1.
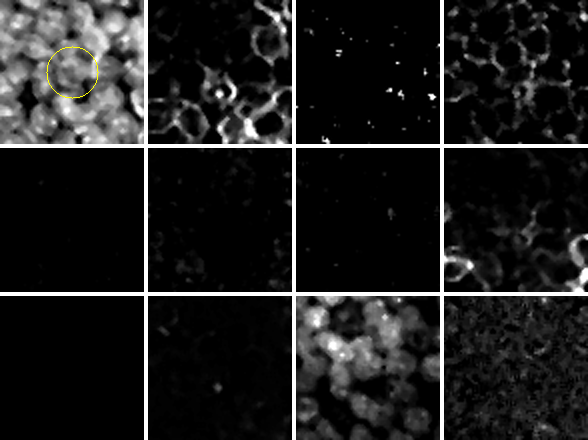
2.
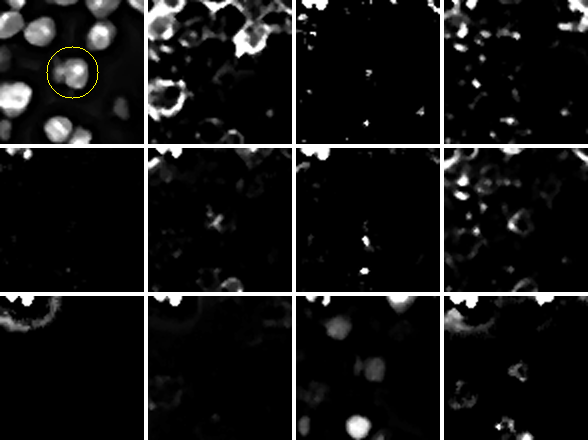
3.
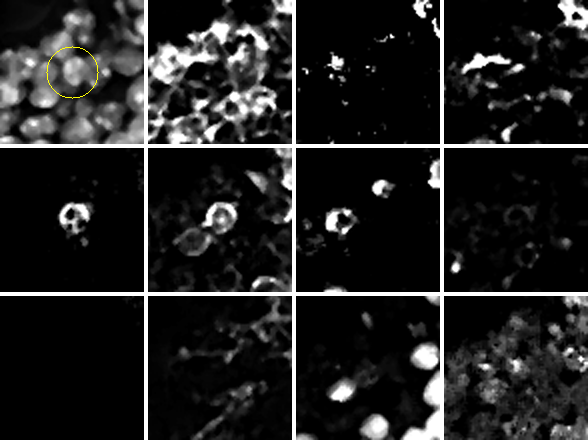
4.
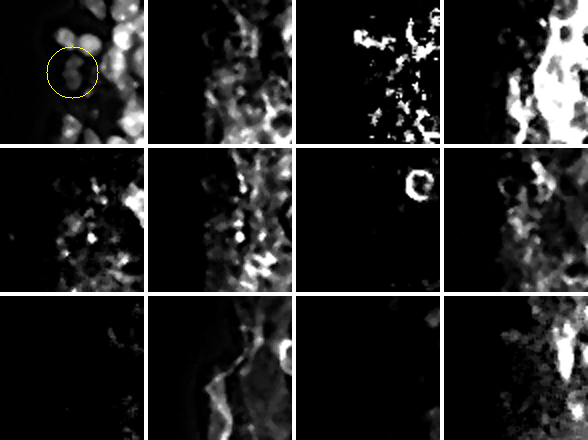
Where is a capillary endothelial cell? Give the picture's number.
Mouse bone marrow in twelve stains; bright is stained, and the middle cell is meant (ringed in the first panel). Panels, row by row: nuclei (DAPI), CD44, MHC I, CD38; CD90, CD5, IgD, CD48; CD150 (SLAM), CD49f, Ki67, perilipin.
4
